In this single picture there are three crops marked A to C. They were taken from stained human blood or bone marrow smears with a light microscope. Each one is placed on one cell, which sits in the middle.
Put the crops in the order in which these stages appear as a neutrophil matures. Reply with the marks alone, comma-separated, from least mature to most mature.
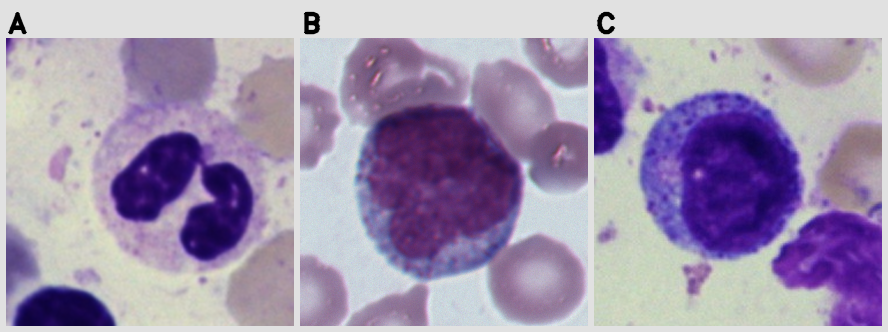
B, C, A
